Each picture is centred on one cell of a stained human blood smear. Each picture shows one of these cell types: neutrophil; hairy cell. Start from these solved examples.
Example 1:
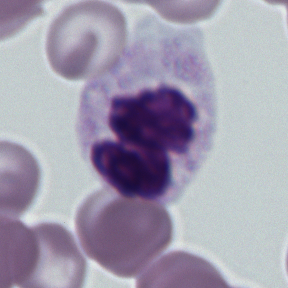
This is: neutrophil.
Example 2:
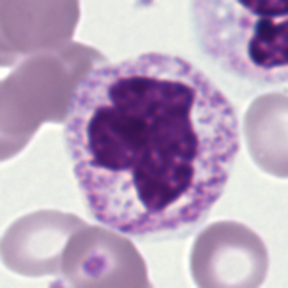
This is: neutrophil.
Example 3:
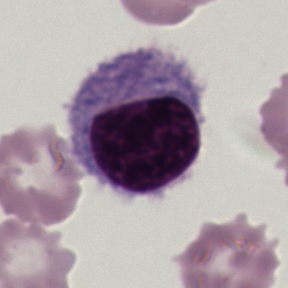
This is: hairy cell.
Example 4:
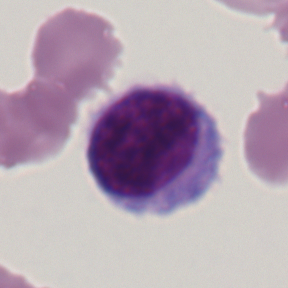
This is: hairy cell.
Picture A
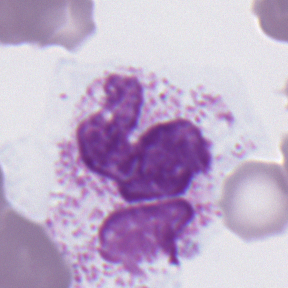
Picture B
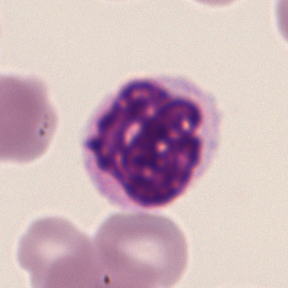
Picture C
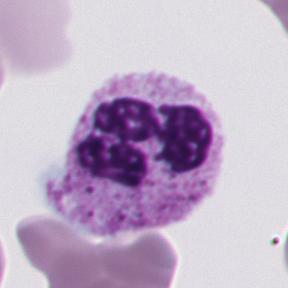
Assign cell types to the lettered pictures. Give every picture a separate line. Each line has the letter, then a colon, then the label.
A: neutrophil.
B: neutrophil.
C: neutrophil.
